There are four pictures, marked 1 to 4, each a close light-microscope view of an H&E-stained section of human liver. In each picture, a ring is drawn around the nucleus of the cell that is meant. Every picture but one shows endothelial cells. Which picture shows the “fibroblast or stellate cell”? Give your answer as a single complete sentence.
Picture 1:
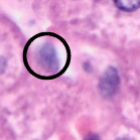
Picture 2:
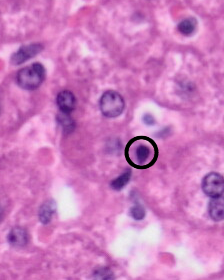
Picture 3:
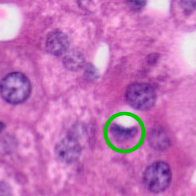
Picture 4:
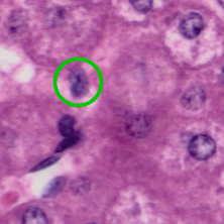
It is picture 2 that shows the “fibroblast or stellate cell”.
